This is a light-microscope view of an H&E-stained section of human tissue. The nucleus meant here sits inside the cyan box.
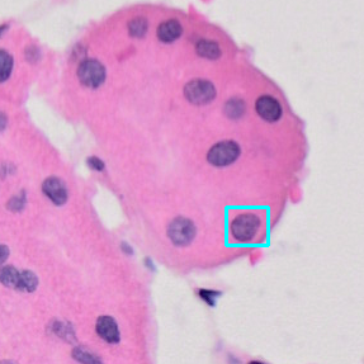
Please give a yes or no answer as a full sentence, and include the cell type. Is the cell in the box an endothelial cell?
No, the cell in the box is not an endothelial cell, being instead a proximal tubule cell.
